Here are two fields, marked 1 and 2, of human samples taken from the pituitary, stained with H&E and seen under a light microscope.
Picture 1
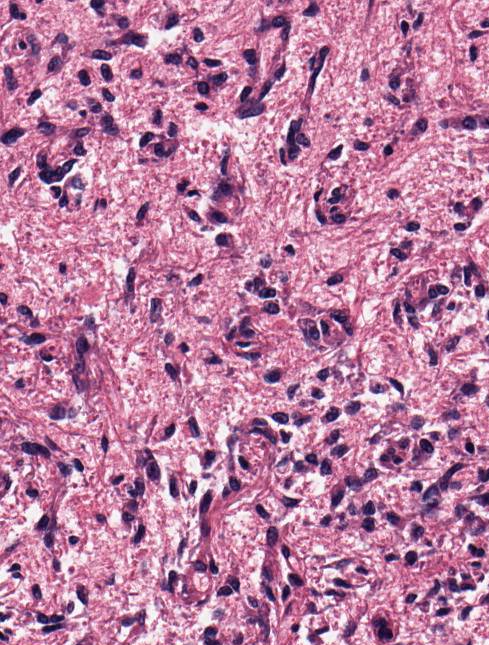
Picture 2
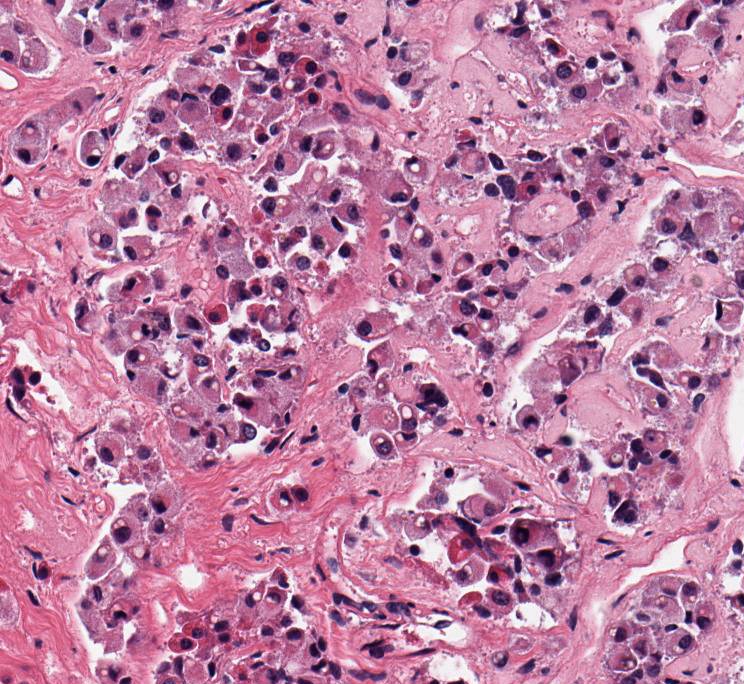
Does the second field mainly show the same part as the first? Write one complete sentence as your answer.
No: picture 1 mainly shows the neurohypophysis, but picture 2 mainly shows the pars distalis.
